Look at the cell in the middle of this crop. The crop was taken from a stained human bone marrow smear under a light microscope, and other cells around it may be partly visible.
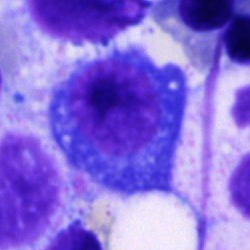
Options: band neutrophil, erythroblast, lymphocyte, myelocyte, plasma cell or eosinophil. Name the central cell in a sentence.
The crop shows a plasma cell in its centre.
